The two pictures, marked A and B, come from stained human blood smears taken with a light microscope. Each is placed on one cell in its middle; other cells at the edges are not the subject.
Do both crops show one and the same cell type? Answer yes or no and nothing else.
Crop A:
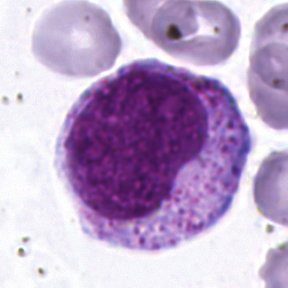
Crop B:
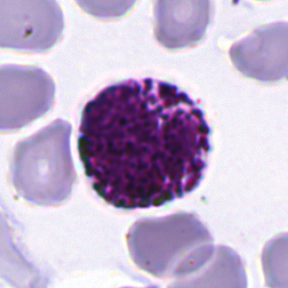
no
